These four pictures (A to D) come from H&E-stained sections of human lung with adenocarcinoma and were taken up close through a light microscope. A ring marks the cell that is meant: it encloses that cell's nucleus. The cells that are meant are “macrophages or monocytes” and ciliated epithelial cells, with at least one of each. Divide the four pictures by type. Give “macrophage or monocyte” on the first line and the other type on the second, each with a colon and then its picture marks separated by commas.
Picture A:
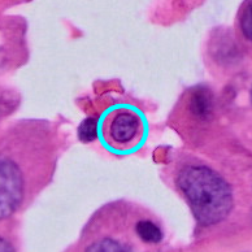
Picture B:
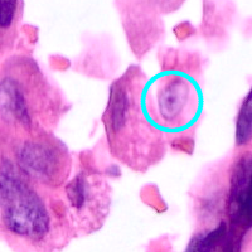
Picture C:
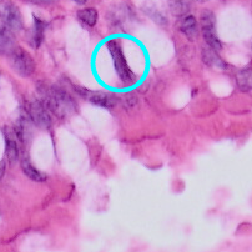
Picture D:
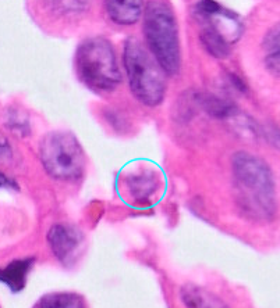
macrophage or monocyte: A, B, D
ciliated epithelial cell: C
